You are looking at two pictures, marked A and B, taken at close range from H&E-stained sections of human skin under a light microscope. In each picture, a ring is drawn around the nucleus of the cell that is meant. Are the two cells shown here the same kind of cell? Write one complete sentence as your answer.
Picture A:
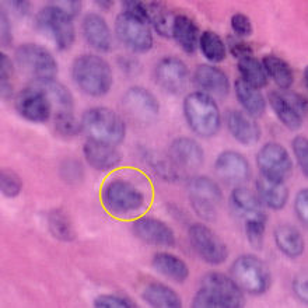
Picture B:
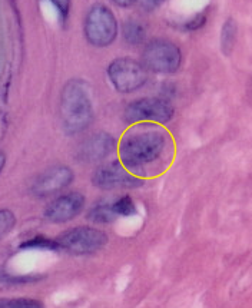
Yes, both cells are basal keratinocytes.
